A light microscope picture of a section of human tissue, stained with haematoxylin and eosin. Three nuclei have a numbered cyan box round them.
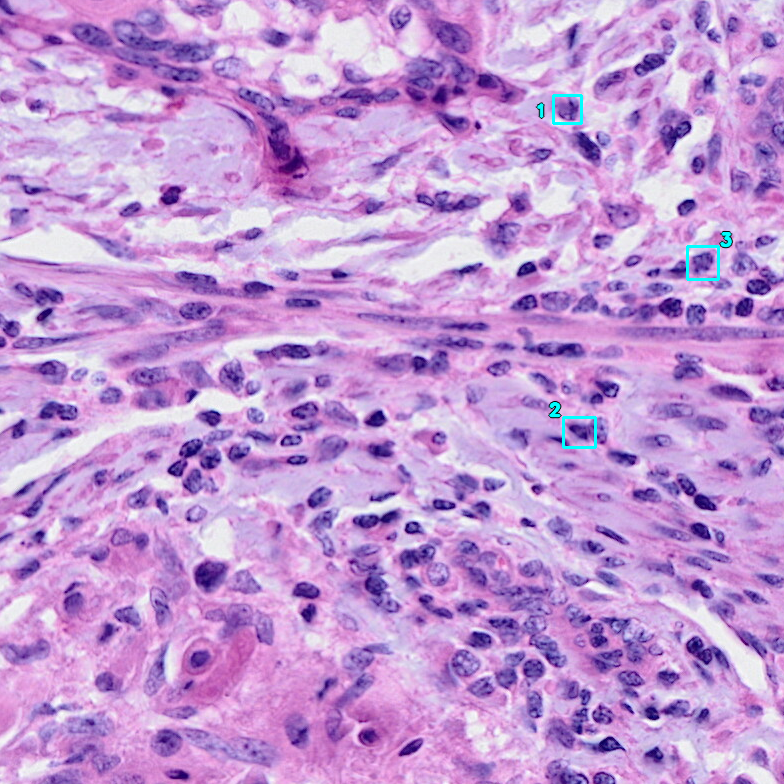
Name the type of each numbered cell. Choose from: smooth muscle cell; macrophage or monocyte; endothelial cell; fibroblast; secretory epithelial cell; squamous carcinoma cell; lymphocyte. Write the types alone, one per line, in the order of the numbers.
macrophage or monocyte
lymphocyte
lymphocyte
